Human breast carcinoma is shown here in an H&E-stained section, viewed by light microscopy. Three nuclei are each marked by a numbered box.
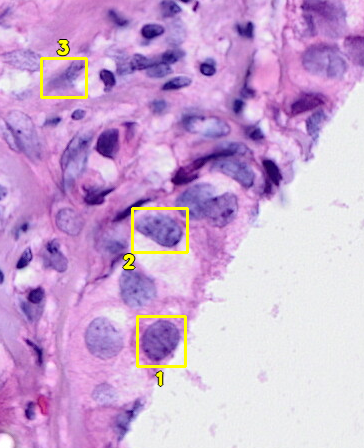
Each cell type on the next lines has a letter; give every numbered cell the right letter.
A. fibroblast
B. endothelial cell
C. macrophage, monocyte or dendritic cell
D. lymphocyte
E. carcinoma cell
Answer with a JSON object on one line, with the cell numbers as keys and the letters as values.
{"1": "E", "2": "E", "3": "A"}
